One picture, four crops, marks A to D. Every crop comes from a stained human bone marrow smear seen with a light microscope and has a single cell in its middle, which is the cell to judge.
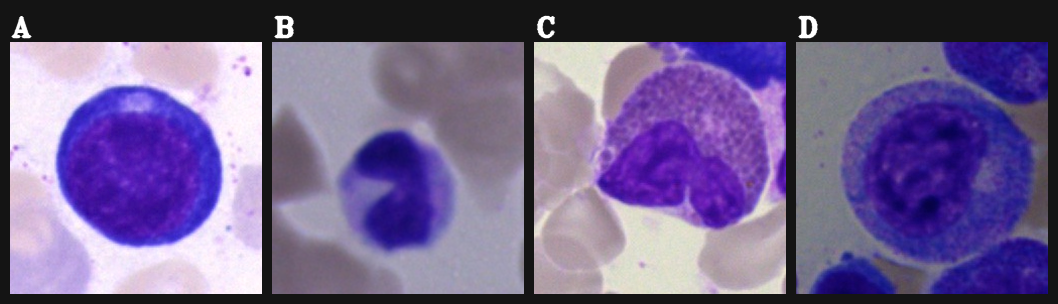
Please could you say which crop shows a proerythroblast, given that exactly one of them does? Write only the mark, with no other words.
A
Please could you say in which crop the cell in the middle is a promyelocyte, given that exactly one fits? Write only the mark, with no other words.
D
